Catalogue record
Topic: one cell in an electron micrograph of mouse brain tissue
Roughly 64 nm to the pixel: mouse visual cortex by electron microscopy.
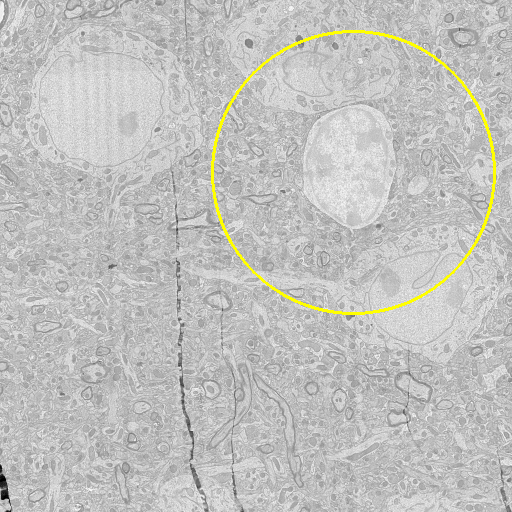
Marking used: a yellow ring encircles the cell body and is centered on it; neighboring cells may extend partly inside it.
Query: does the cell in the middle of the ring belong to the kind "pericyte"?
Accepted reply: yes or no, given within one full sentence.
No, the cell centered in the ring in the picture is of another kind.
